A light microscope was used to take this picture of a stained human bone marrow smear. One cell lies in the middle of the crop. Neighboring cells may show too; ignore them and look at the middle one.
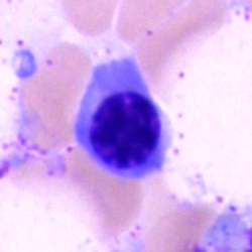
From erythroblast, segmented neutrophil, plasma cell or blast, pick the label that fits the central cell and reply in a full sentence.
For this crop, the cell in the middle is an erythroblast.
